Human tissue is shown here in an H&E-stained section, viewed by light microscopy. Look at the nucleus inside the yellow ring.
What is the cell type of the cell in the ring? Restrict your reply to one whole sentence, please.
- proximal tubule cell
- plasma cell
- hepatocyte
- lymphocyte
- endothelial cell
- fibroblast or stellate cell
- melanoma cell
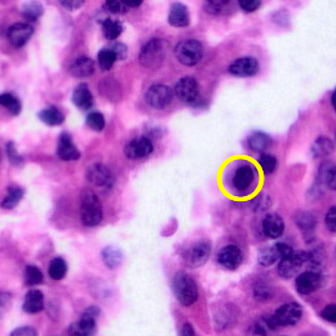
Typologically, the cell in the ring is a plasma cell in this section.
